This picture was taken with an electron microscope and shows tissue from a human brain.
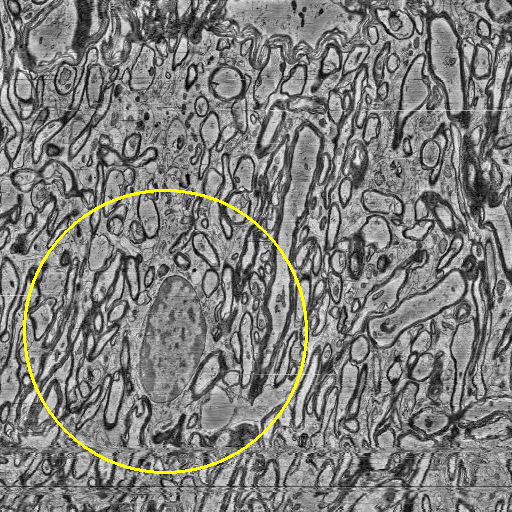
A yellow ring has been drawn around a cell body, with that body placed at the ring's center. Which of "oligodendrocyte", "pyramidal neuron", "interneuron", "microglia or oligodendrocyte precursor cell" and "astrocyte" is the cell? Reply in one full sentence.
In this picture, a microglial cell or oligodendrocyte precursor cell is the cell at the center of the yellow ring.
